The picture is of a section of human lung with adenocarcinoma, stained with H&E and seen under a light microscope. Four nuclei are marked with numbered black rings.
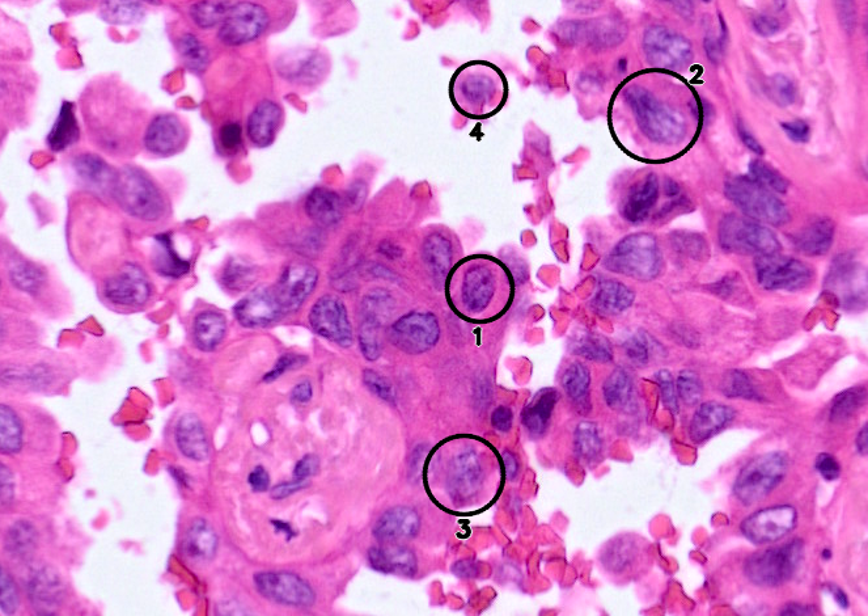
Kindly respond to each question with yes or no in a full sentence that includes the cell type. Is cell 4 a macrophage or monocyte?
Yes, a macrophage or monocyte is what the cell numbered 4 is.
